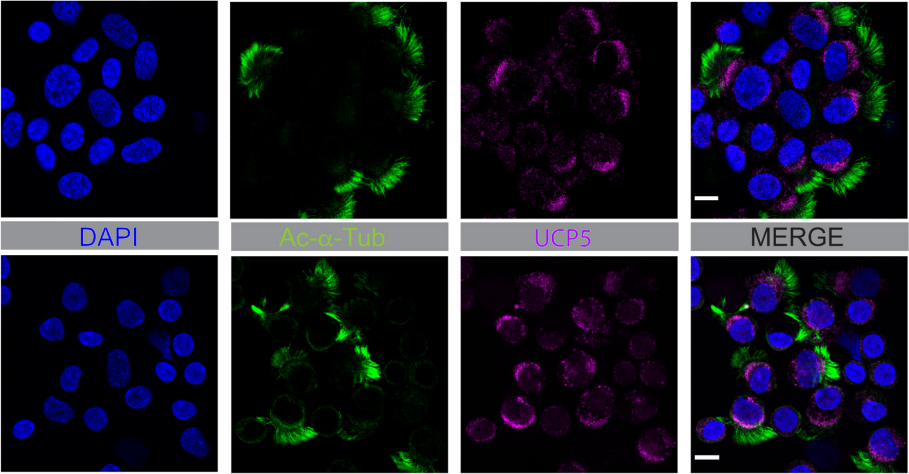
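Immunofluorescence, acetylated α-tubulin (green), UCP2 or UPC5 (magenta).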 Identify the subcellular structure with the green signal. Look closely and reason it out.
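Green brush-like tufts of fine parallel filaments project from one side of several cells. The tufts sit at the cell edge, outside the blue nuclei.
Answer: cilia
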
